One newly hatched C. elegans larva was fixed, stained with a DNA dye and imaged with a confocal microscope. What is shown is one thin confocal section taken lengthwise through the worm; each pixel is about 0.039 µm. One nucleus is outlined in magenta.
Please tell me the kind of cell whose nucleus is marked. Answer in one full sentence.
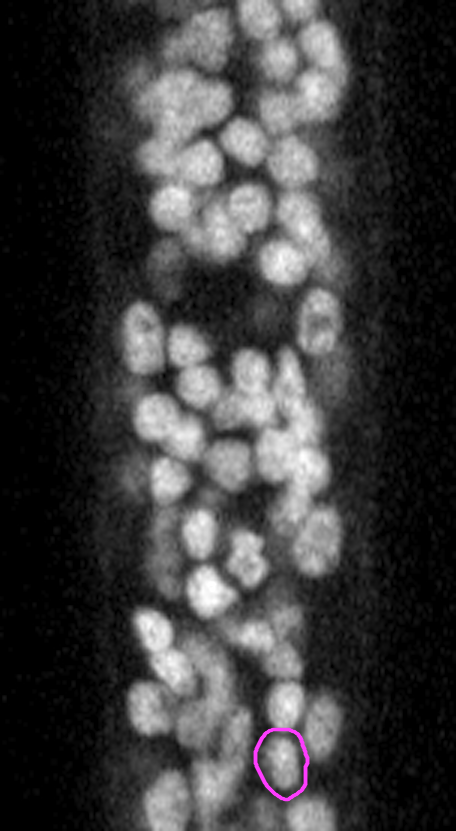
The cell with the marked nucleus is a glial cell (sheath or socket).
